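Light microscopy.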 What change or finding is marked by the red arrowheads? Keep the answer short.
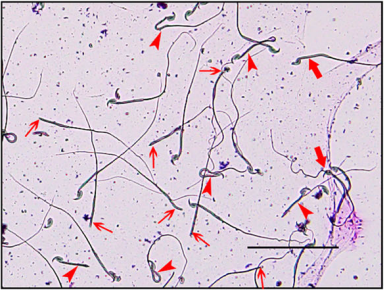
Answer: Bending or looping of flagellum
